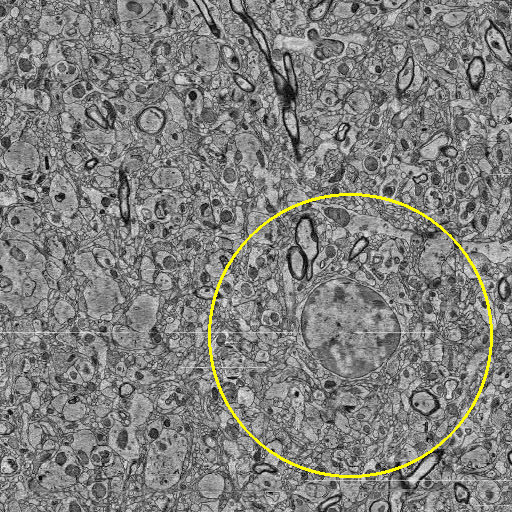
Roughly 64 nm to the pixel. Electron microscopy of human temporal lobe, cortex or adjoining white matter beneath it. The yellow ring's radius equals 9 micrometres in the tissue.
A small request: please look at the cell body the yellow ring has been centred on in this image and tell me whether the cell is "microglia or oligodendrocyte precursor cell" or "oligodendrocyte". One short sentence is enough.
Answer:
The cell marked by the ring is a microglial cell or oligodendrocyte precursor cell.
